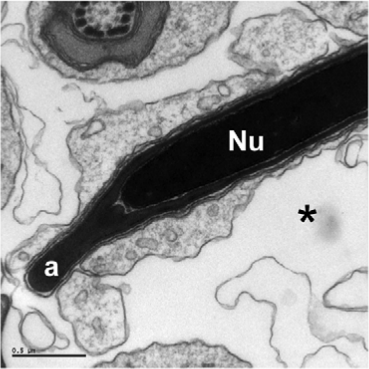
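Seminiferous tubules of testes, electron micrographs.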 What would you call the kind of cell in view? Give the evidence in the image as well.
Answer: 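An elongated, highly condensed electron-dense head tapers to a capped tip. A cross-section of a flagellum with a ring of microtubule doublets appears at the upper left. On this evidence: spermatozoa.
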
